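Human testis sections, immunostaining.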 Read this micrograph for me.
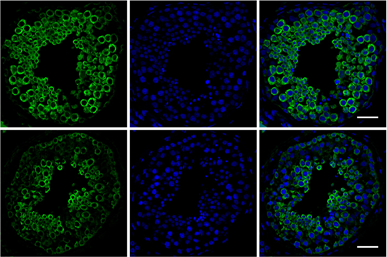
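Each row shows a cross-section of a seminiferous tubule with a stratified epithelium of many cells around a central lumen. Green labelling outlines the cytoplasm of numerous round cells across the epithelium, seen as rings around blue nuclei, while the merged image shows the green cells occupying most of the tubule wall.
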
